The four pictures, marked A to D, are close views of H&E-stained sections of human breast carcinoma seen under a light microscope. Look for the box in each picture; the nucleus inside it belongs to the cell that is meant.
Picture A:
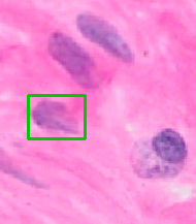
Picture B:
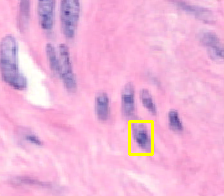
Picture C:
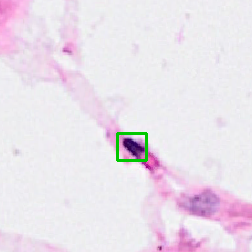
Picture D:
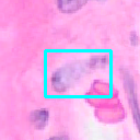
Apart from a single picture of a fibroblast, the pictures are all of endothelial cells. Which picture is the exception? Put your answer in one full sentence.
The picture with the fibroblast is A.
